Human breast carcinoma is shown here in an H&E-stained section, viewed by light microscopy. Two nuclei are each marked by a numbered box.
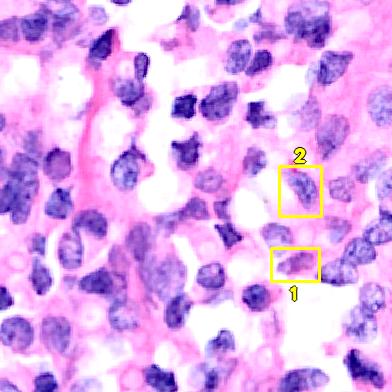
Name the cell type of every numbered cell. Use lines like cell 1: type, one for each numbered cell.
cell 1: carcinoma cell
cell 2: endothelial cell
